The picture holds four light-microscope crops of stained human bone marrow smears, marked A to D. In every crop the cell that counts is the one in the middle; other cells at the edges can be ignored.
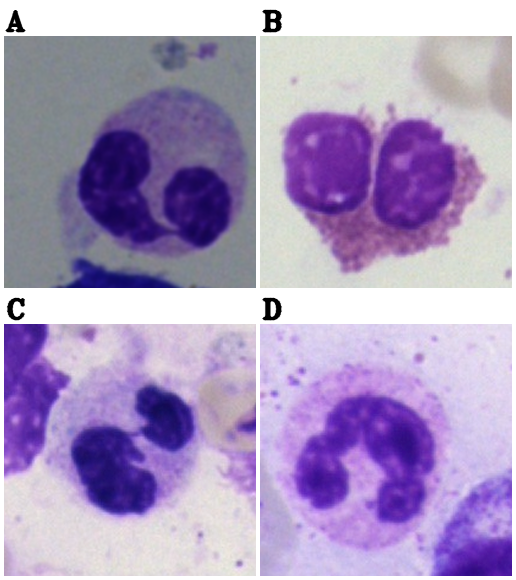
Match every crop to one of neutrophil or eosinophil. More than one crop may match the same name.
A: neutrophil
B: eosinophil
C: neutrophil
D: neutrophil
